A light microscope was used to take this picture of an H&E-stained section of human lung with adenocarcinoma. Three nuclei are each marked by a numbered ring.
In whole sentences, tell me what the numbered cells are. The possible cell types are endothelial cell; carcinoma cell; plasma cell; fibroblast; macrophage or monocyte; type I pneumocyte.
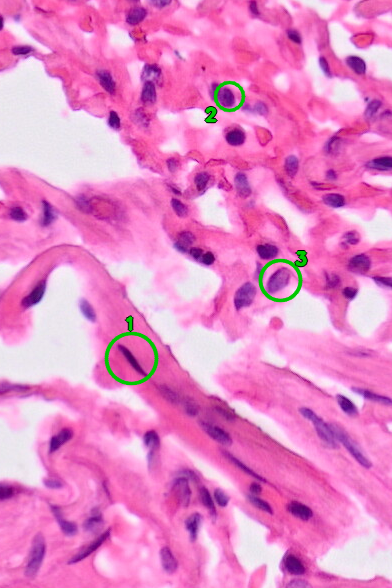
Cell 1 is an endothelial cell, cell 2 is a type I pneumocyte and cell 3 is a type I pneumocyte.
